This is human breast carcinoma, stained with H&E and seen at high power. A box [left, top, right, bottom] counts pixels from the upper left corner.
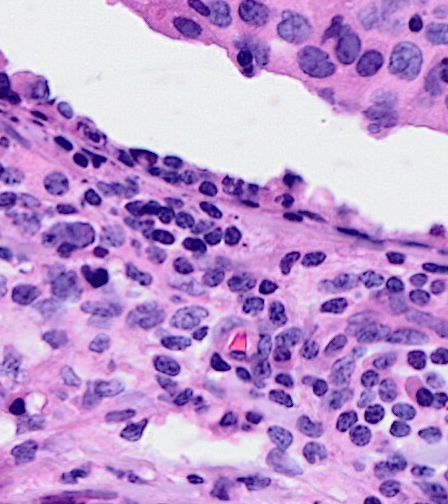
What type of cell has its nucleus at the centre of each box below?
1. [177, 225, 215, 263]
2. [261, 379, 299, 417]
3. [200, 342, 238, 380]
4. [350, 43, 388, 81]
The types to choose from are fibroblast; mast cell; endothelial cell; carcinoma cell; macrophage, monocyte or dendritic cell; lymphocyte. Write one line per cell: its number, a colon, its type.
1: lymphocyte
2: lymphocyte
3: lymphocyte
4: carcinoma cell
